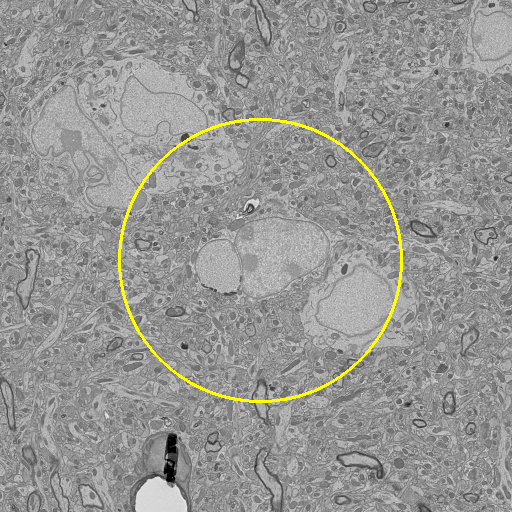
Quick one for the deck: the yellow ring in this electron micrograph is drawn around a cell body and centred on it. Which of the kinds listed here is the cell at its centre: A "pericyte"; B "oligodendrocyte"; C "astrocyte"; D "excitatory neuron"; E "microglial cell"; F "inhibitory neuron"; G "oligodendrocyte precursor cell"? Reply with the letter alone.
C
